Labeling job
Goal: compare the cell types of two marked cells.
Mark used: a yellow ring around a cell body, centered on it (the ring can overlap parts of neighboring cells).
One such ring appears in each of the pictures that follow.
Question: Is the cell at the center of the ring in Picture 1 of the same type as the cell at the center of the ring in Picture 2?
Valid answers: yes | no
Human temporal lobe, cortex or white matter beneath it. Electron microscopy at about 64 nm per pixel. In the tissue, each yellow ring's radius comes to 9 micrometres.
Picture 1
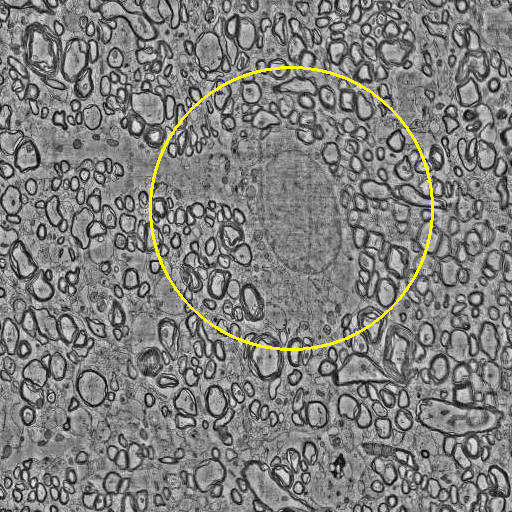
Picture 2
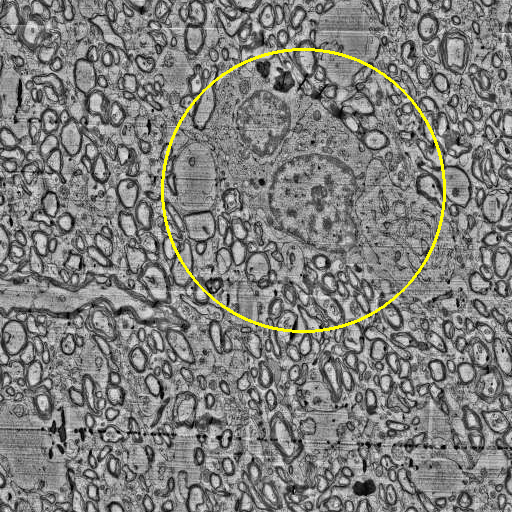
no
